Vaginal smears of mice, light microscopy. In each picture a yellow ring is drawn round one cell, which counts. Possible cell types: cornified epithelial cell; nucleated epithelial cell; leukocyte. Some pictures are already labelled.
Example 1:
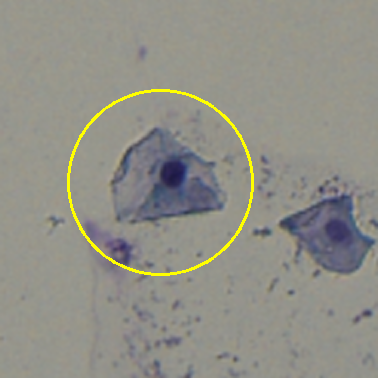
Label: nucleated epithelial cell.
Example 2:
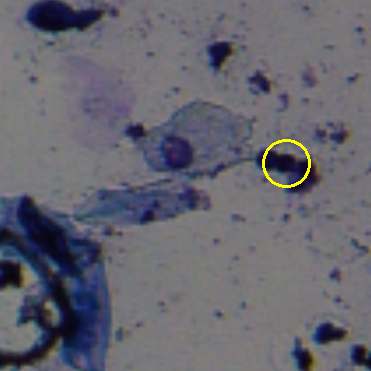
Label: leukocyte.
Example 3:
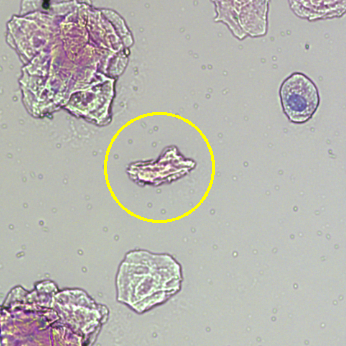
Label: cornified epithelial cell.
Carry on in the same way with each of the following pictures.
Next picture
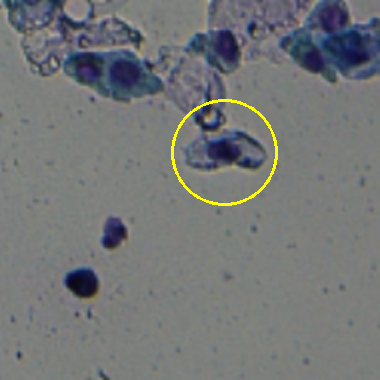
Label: nucleated epithelial cell.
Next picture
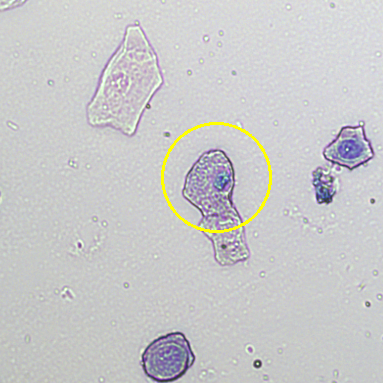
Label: nucleated epithelial cell.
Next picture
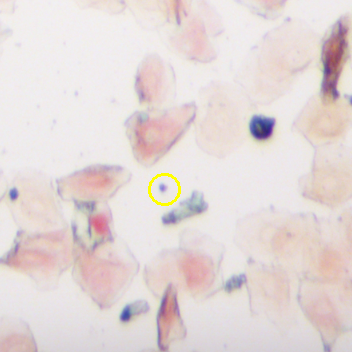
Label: leukocyte.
